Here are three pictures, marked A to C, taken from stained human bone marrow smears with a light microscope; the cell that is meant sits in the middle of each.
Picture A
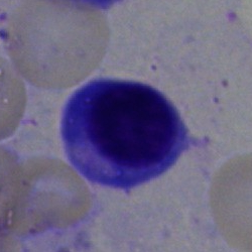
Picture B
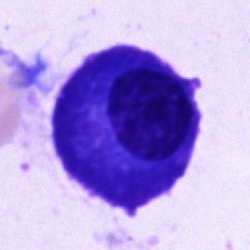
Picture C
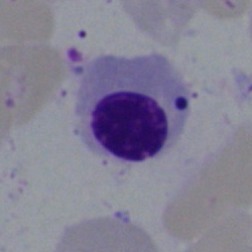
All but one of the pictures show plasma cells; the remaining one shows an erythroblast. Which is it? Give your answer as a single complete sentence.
The picture with the erythroblast is C.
